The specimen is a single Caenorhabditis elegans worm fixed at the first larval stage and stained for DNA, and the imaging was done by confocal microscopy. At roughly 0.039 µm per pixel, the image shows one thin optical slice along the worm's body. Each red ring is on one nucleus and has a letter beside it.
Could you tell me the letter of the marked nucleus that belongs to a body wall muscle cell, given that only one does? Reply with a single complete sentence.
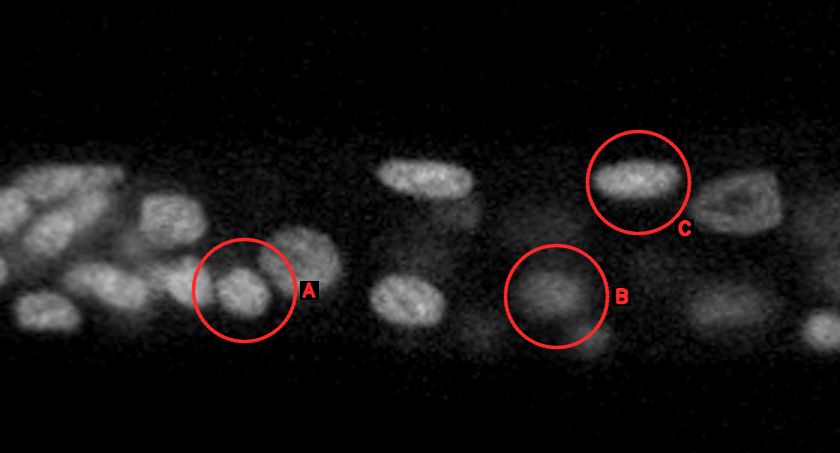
Nucleus C belongs to a body wall muscle cell.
